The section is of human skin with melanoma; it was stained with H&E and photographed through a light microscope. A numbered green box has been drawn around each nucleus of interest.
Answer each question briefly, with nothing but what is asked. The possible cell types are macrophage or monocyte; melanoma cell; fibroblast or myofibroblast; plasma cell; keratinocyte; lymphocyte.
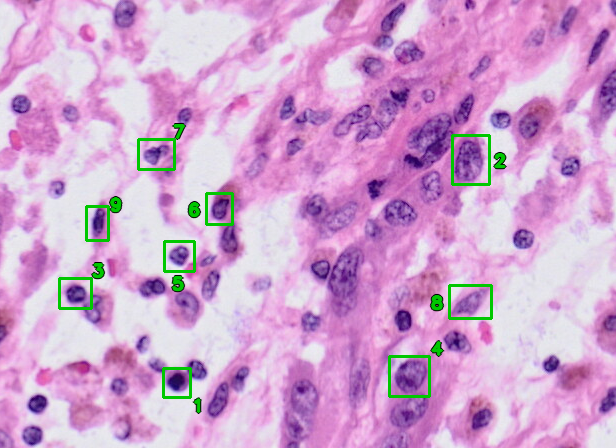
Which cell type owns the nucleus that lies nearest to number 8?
lymphocyte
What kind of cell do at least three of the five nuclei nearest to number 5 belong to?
macrophage or monocyte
